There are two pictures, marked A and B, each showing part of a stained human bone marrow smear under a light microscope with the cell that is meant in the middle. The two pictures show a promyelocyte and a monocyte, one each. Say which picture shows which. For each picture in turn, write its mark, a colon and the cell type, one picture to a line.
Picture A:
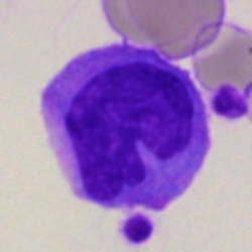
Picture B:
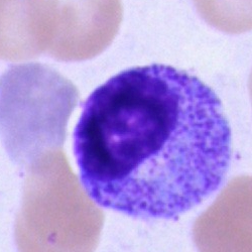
A: monocyte
B: promyelocyte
